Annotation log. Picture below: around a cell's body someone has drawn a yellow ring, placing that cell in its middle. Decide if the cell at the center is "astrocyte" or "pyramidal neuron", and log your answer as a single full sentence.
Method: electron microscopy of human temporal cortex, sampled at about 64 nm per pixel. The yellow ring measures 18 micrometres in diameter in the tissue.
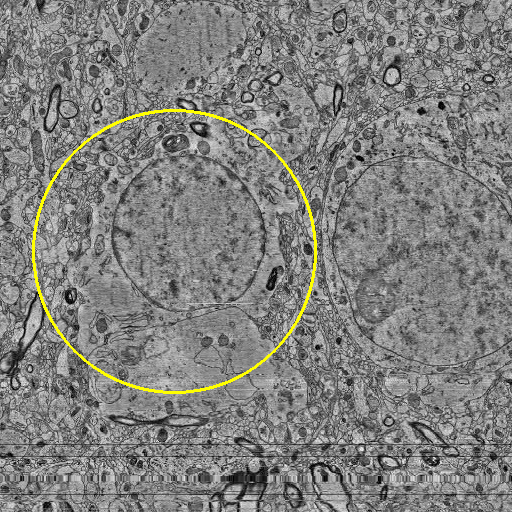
My entry records an astrocyte as the cell sitting at the center of the yellow ring.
